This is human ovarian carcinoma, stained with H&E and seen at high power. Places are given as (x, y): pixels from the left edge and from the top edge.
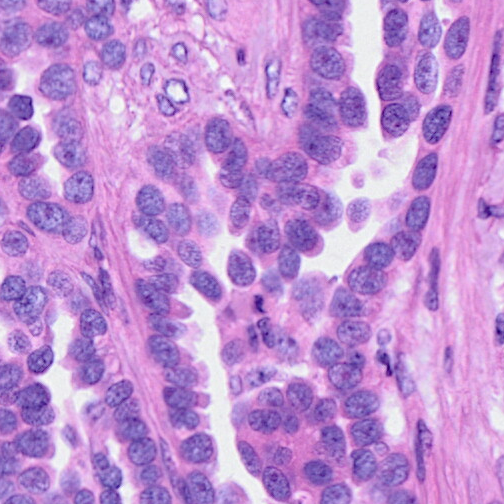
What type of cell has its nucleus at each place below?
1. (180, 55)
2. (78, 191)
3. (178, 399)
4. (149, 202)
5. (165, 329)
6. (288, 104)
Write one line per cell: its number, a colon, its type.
1: fibroblast
2: carcinoma cell
3: carcinoma cell
4: carcinoma cell
5: carcinoma cell
6: fibroblast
